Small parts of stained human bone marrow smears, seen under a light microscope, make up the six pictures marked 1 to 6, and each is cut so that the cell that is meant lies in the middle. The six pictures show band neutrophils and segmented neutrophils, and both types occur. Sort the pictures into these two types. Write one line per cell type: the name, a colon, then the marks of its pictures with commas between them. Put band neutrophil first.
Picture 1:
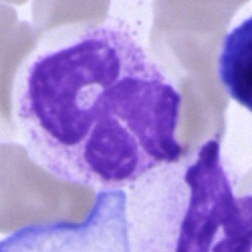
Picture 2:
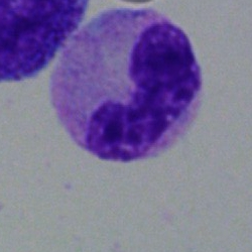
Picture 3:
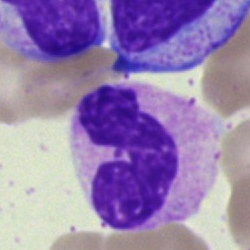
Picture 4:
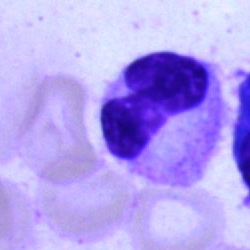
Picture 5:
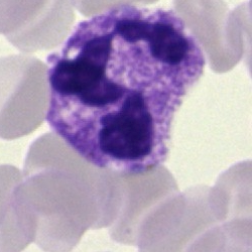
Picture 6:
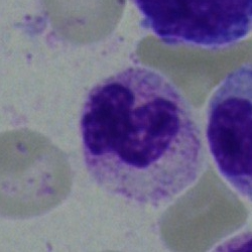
band neutrophil: 2, 4, 6
segmented neutrophil: 1, 3, 5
